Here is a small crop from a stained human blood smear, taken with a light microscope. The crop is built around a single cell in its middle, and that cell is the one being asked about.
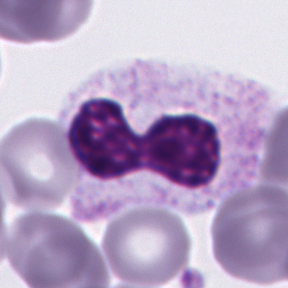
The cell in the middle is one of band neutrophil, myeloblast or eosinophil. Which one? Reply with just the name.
band neutrophil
